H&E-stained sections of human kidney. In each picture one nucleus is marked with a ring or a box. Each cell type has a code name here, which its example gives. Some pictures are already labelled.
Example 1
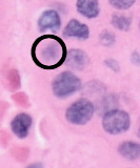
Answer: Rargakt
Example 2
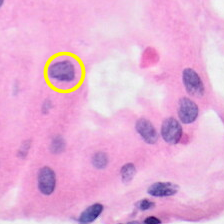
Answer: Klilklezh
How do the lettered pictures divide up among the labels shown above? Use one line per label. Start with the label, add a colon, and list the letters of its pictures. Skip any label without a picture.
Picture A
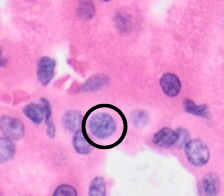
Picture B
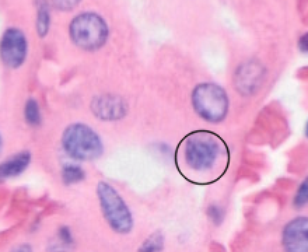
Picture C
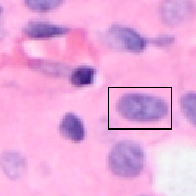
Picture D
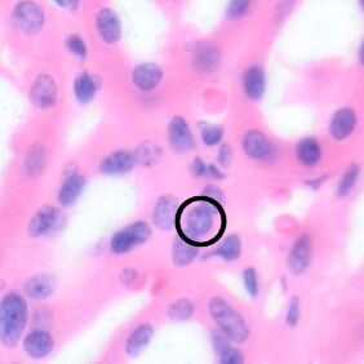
Rargakt: A, B, C, D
